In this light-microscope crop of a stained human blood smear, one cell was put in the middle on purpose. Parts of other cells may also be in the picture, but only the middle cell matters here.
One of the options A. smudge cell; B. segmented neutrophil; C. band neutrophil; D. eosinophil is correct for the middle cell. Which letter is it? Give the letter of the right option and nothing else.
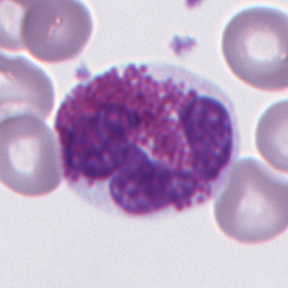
D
